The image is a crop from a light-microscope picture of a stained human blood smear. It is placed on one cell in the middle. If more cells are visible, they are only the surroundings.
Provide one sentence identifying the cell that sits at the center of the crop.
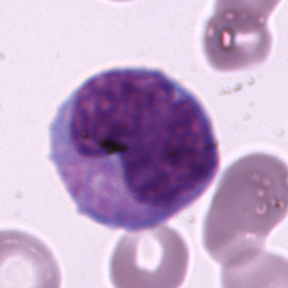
Regarding the central cell, it is an atypical promyelocyte.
